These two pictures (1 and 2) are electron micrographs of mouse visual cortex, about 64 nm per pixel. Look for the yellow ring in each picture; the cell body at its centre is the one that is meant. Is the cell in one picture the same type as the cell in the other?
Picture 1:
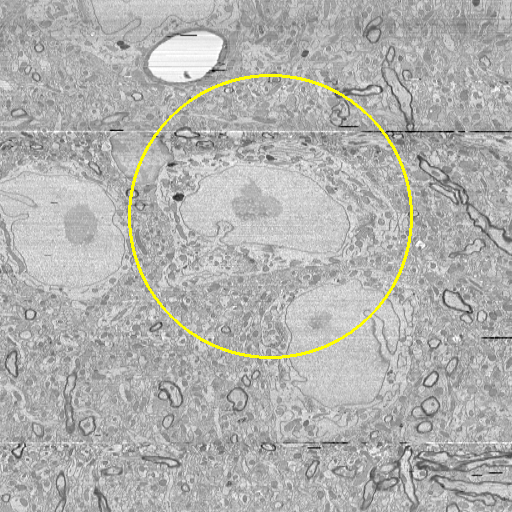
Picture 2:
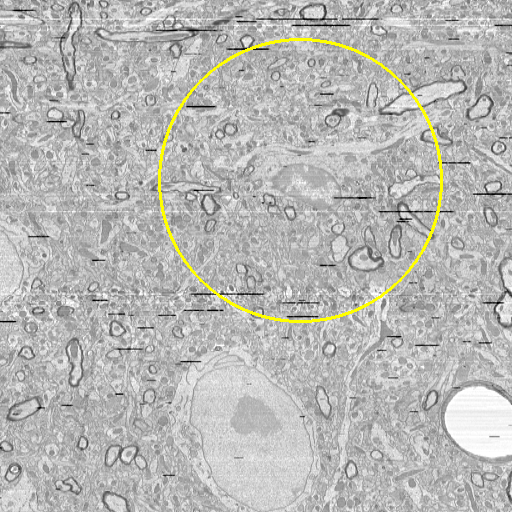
No. Picture 1 shows an inhibitory neuron, but picture 2 shows an oligodendrocyte.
